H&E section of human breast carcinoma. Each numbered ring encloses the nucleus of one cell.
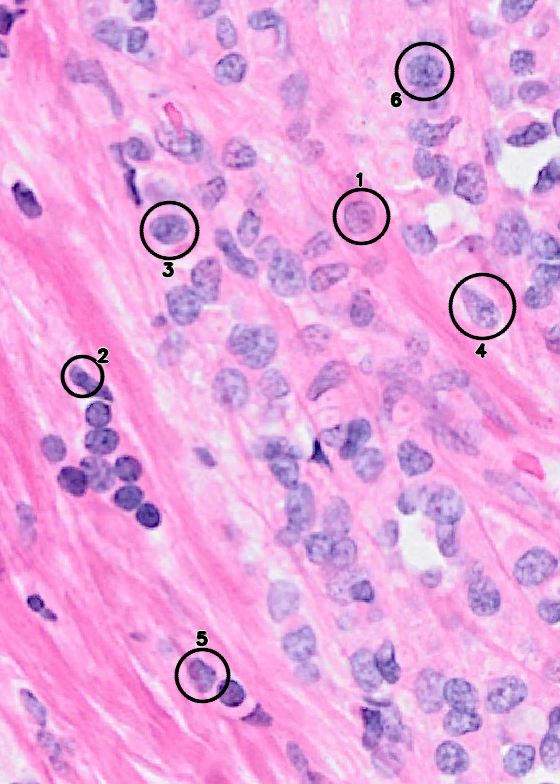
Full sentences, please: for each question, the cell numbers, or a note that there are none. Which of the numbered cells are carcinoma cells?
By cell type, the cells numbered 1, 3, 5 and 6 are carcinoma cells.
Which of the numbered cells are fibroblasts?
Exactly one numbered cell is a fibroblast, and that cell is number 4.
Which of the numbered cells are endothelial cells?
The numbered cells include no endothelial cells at all.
